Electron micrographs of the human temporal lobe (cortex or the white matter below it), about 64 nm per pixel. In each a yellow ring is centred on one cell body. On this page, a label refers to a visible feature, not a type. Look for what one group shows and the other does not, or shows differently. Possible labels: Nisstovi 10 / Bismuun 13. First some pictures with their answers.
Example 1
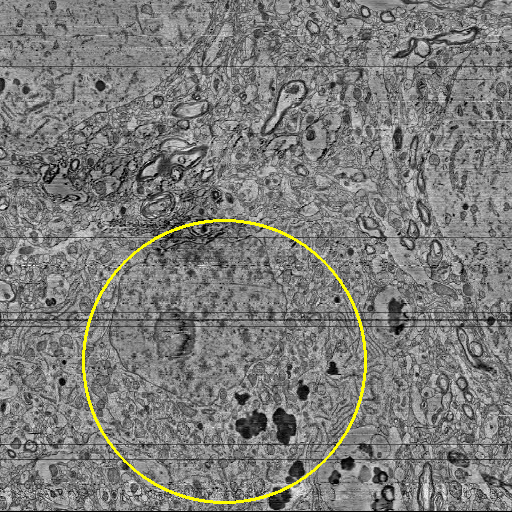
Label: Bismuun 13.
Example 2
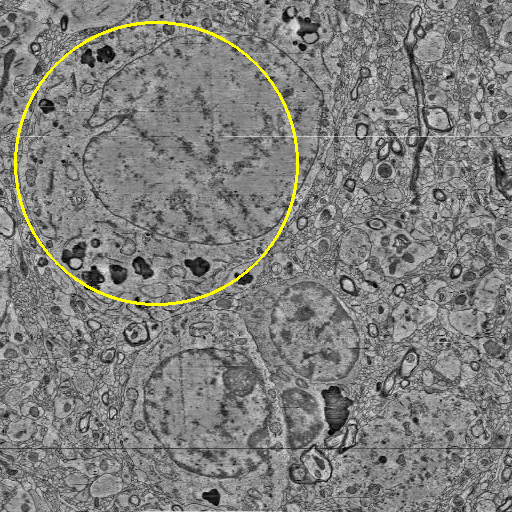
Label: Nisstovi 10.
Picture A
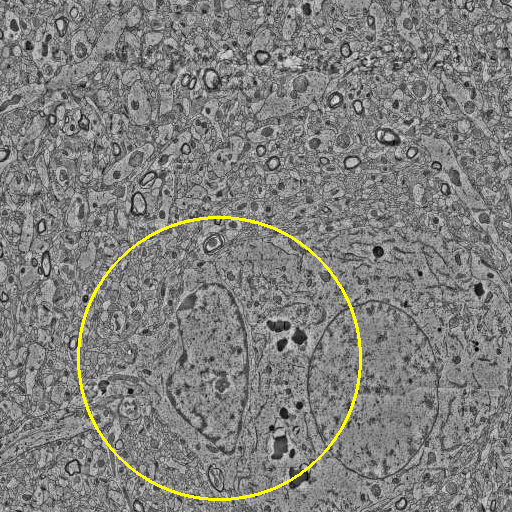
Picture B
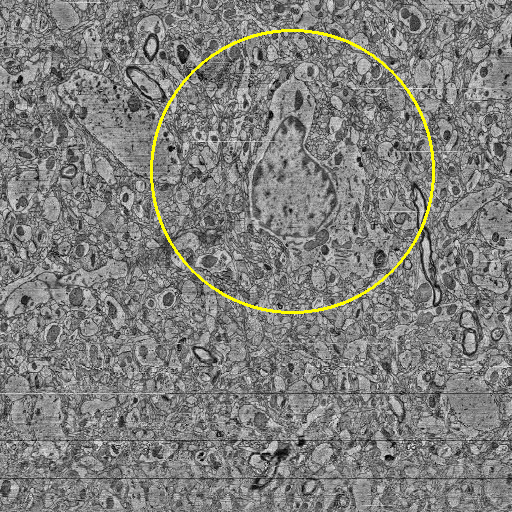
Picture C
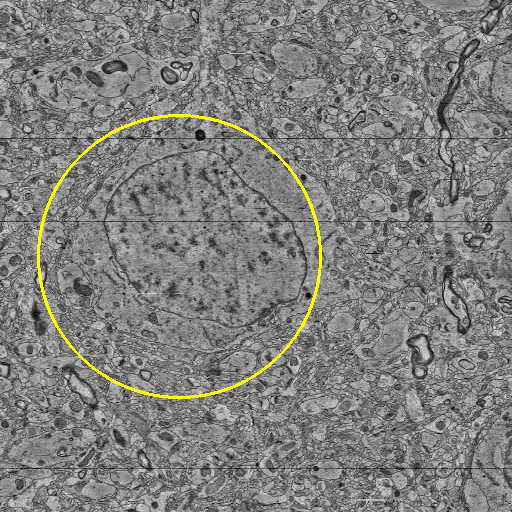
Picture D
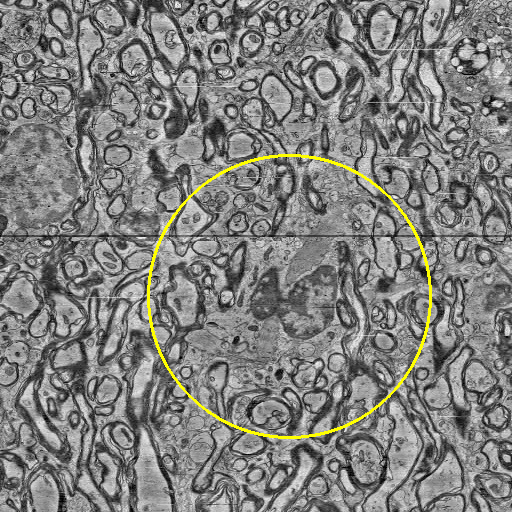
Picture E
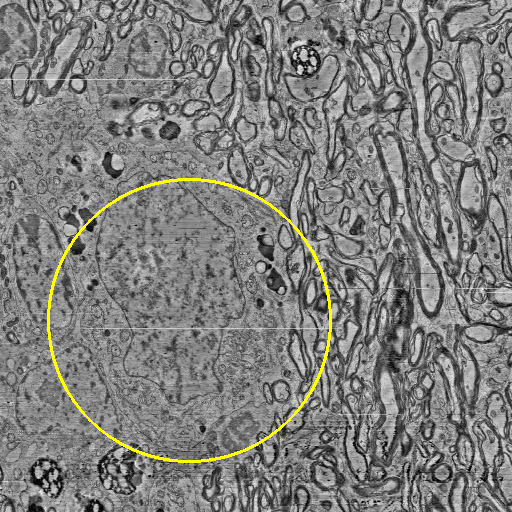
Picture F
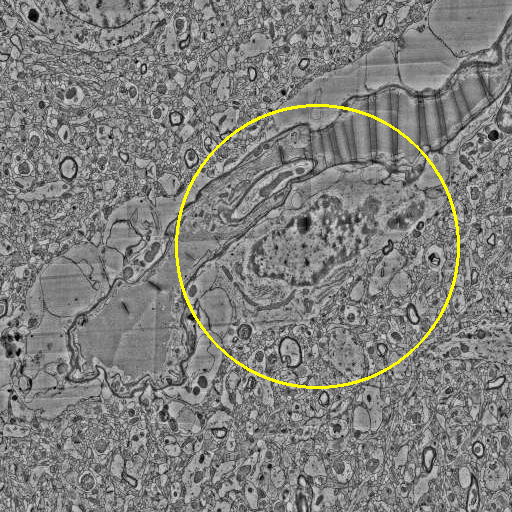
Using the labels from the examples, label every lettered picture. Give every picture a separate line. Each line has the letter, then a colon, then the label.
A: Nisstovi 10.
B: Nisstovi 10.
C: Bismuun 13.
D: Nisstovi 10.
E: Nisstovi 10.
F: Nisstovi 10.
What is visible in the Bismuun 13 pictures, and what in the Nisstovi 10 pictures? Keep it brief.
In Bismuun 13: smooth nuclear envelopes without deep folds. In Nisstovi 10: deeply folded or indented nuclear envelopes.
